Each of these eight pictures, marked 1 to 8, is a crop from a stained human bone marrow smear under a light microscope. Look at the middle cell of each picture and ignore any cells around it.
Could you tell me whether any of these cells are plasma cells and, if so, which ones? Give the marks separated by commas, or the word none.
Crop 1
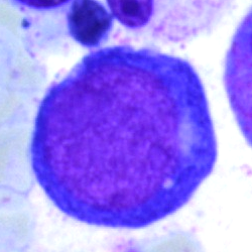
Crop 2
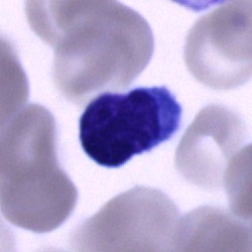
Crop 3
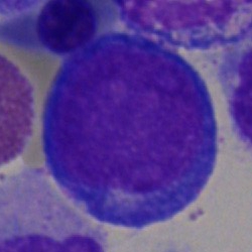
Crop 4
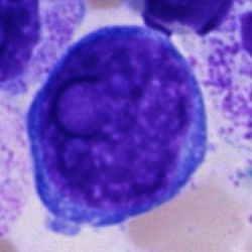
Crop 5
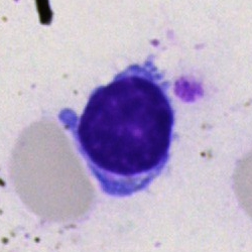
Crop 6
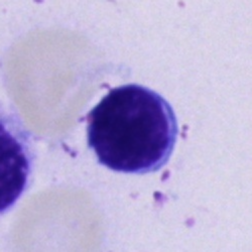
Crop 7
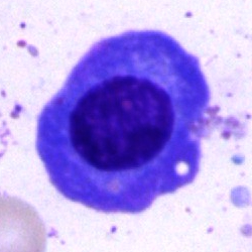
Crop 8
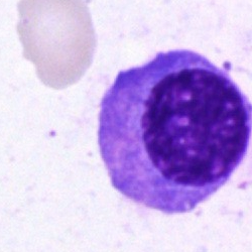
7, 8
